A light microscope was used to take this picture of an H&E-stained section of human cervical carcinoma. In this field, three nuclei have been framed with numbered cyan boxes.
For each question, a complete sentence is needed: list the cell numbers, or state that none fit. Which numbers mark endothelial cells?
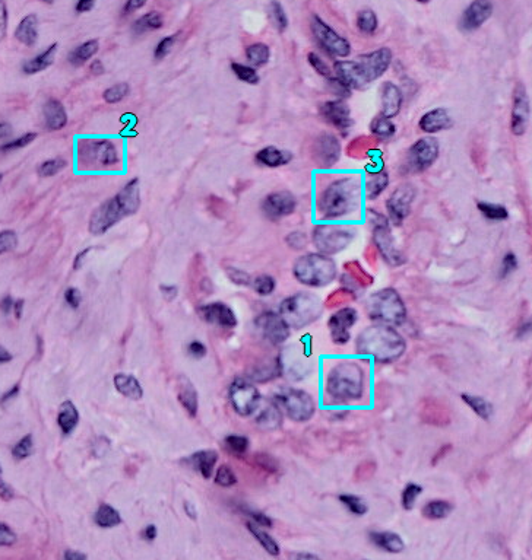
The numbers 1 and 3 in this section indicate endothelial cells.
